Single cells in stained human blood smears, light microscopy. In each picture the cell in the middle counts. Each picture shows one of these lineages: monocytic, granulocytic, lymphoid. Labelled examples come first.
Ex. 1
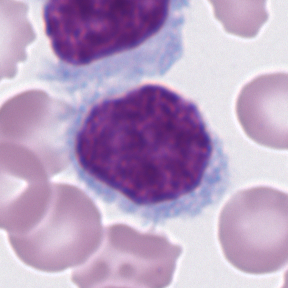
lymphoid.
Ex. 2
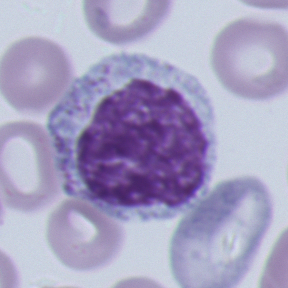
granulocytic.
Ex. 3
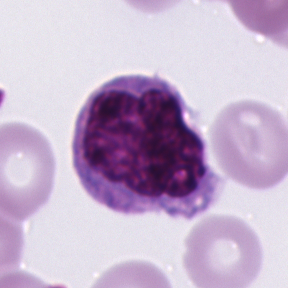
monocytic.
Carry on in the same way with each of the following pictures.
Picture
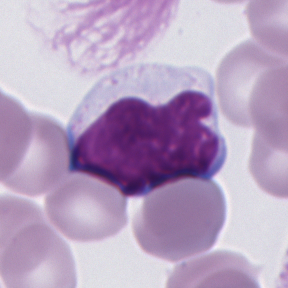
lymphoid.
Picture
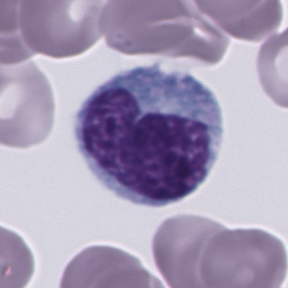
monocytic.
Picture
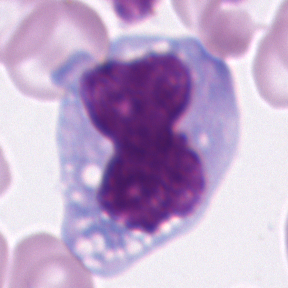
monocytic.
